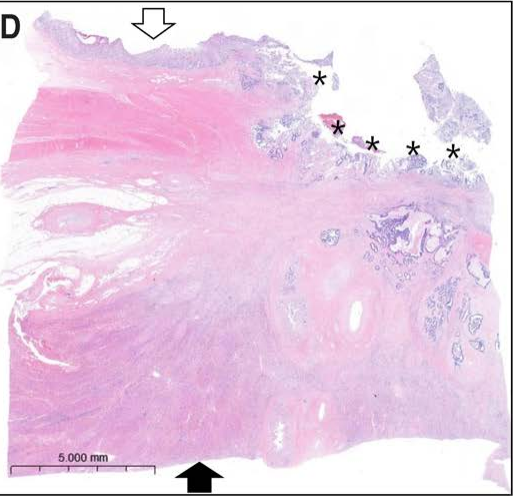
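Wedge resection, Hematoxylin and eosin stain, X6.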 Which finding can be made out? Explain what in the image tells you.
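Irregular gland-like structures lined by dark-staining epithelium are scattered through the pink stroma. The glands infiltrate deep into the wall, far below the surface layer.
Answer: adenocarcinoma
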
